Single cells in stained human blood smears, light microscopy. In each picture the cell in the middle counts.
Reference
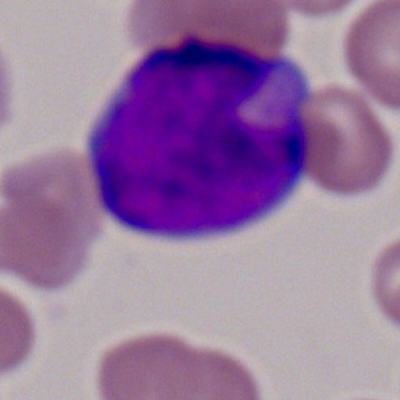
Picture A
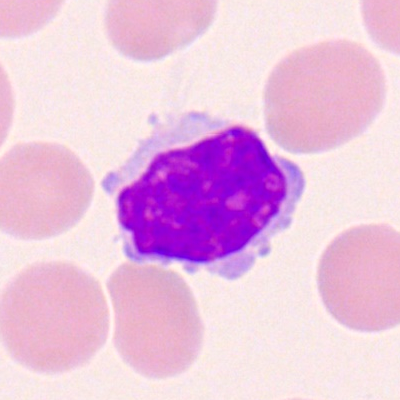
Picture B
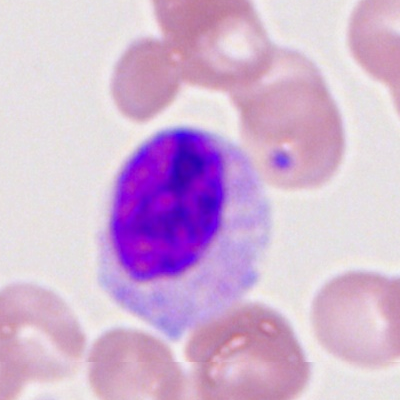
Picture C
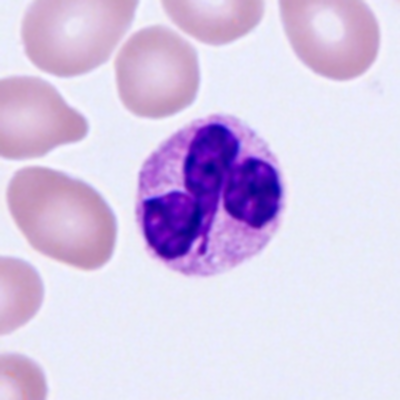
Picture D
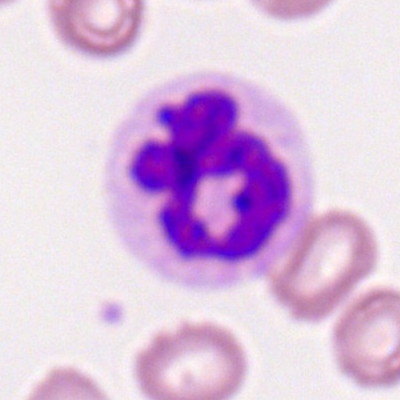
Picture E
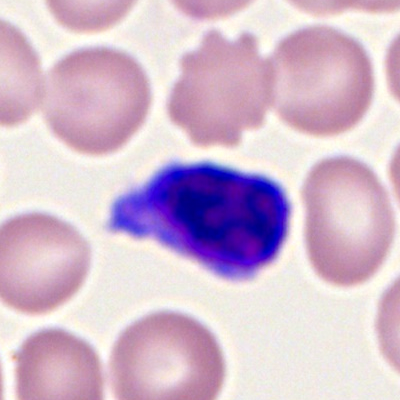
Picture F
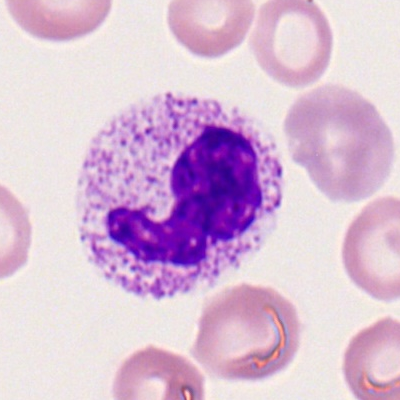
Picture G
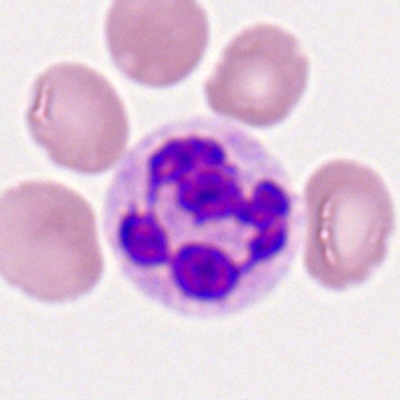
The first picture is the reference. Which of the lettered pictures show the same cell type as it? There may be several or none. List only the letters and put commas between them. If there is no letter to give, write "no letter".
no letter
